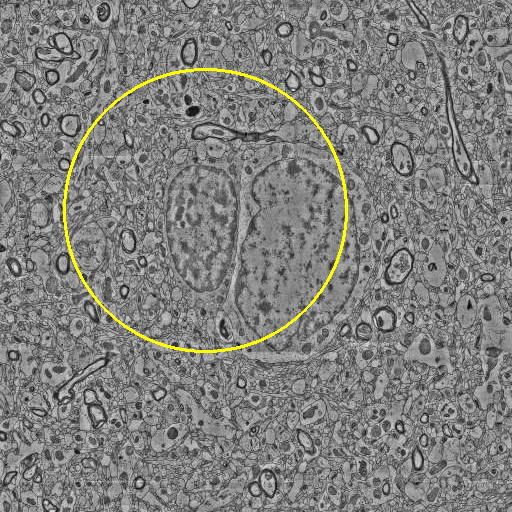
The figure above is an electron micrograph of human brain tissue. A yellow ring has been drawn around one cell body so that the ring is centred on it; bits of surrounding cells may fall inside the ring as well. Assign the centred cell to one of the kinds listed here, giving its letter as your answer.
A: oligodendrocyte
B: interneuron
A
